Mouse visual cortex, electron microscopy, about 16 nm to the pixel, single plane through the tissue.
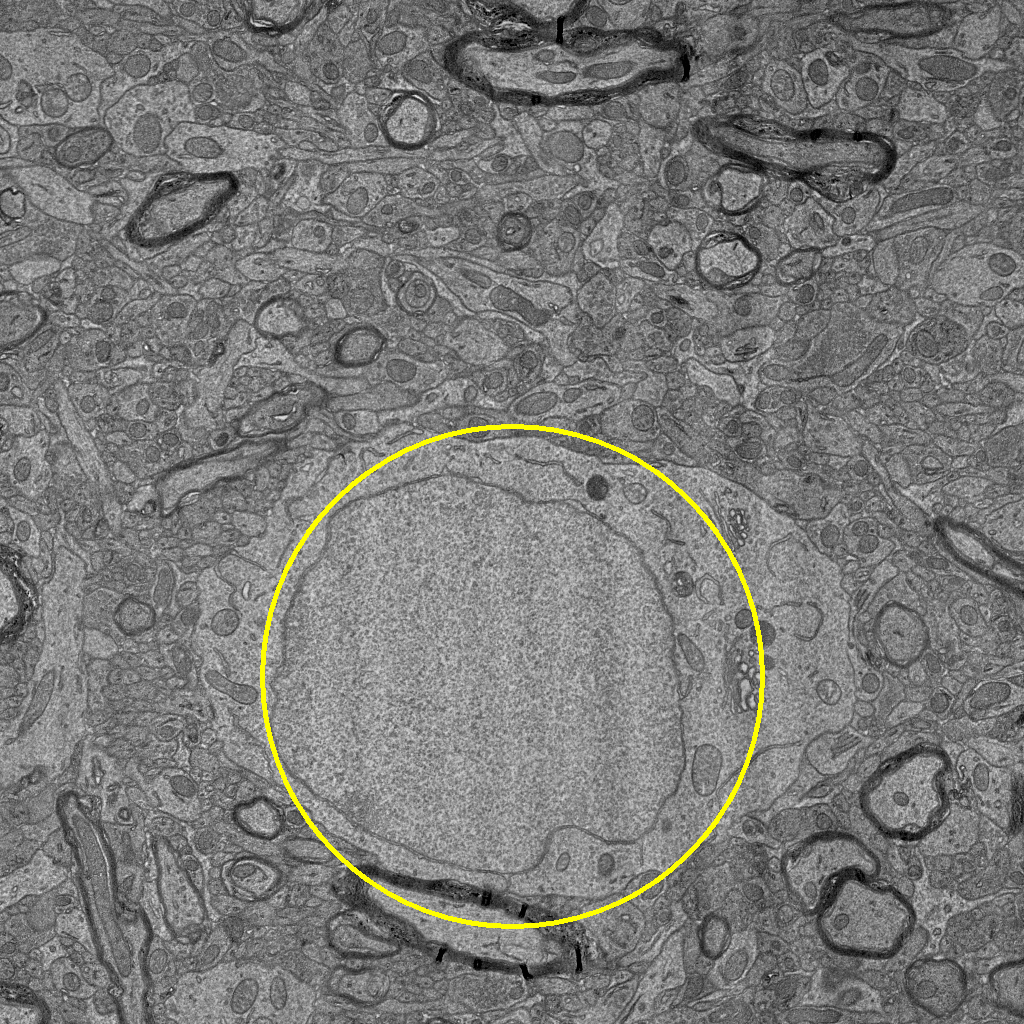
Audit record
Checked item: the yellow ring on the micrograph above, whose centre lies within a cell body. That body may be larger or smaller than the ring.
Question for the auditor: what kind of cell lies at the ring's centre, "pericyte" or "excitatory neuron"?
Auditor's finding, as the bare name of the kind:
excitatory neuron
